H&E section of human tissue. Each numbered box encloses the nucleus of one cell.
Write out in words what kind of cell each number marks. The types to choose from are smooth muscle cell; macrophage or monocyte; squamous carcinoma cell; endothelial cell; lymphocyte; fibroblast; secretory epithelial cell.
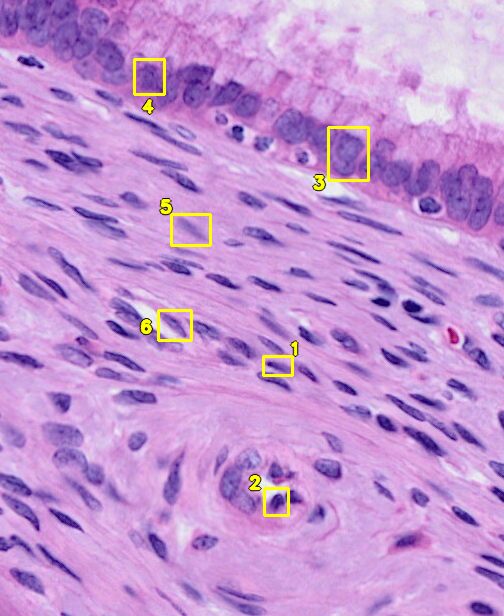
Cells 1 and 5 are fibroblasts. Cells 2 and 6 are endothelial cells. Cells 3 and 4 are secretory epithelial cells.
